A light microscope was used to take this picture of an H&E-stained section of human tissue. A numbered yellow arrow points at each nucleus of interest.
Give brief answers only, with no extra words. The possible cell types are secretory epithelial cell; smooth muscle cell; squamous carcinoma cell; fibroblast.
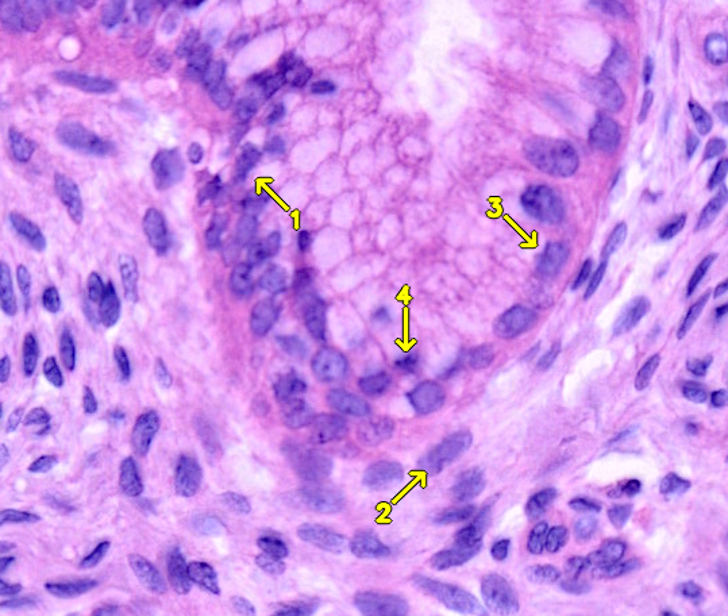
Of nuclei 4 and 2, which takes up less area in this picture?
4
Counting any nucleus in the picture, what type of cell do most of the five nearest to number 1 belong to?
secretory epithelial cell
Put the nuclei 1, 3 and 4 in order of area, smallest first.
4, 1, 3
